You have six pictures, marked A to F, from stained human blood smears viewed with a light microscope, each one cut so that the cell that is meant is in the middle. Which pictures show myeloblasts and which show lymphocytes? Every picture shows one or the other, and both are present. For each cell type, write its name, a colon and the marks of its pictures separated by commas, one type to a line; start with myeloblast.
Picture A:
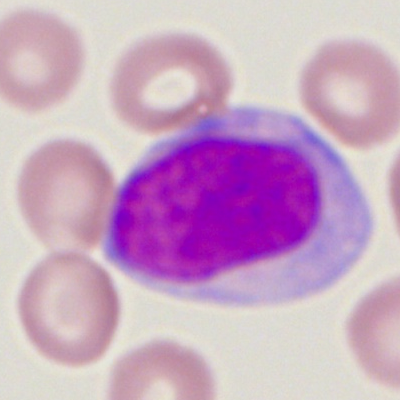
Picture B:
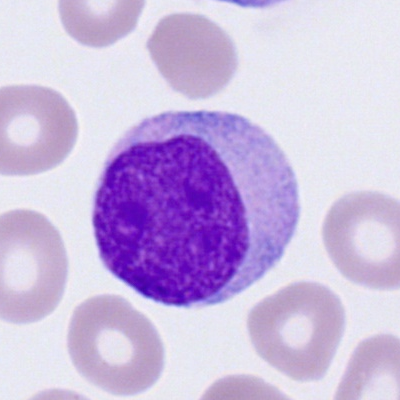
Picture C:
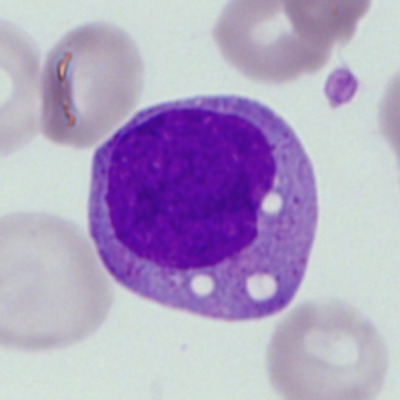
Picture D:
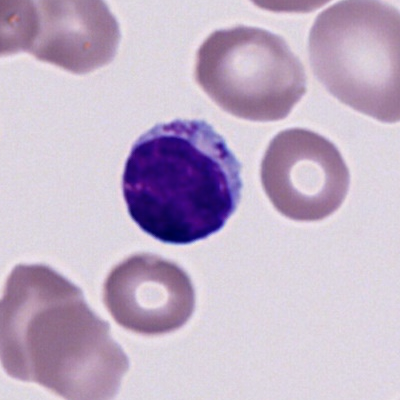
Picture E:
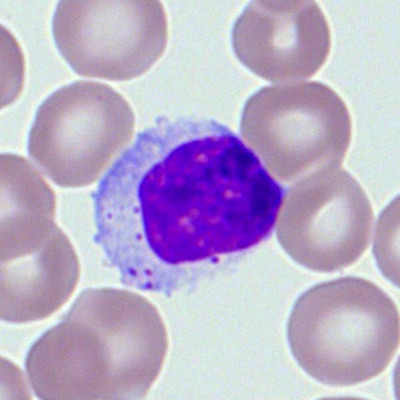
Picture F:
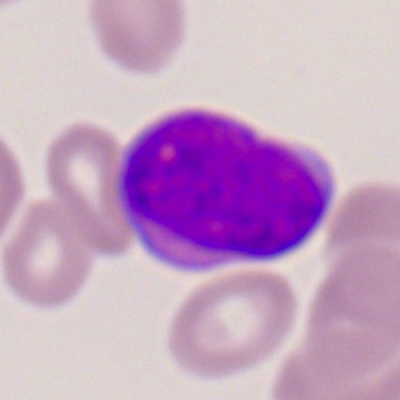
myeloblast: A, B, C, F
lymphocyte: D, E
